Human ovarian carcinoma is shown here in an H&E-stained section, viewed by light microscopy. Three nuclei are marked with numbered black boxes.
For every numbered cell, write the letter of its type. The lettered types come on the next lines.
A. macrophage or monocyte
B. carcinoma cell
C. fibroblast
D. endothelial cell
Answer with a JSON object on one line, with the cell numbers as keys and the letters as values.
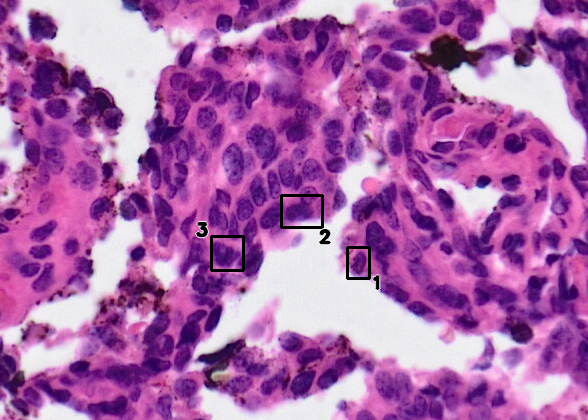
{"1": "A", "2": "B", "3": "B"}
